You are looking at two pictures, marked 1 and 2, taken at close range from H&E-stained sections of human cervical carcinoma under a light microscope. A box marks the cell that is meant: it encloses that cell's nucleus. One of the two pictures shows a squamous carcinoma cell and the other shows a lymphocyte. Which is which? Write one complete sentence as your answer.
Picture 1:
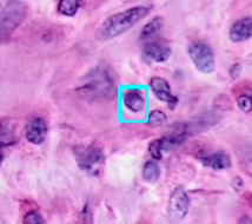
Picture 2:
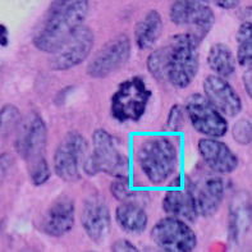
Picture 2 shows a squamous carcinoma cell, while picture 1 shows a lymphocyte.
